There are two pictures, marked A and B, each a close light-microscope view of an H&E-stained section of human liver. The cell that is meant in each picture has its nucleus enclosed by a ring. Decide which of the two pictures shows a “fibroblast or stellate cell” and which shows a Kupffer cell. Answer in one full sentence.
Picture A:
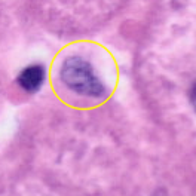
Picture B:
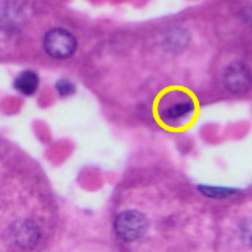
Picture A shows a Kupffer cell and picture B shows a “fibroblast or stellate cell”.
